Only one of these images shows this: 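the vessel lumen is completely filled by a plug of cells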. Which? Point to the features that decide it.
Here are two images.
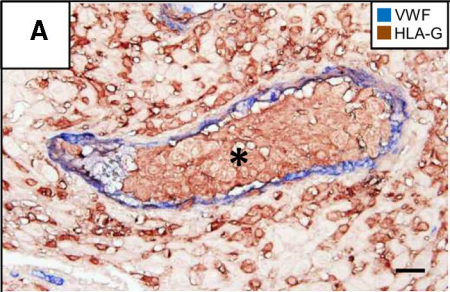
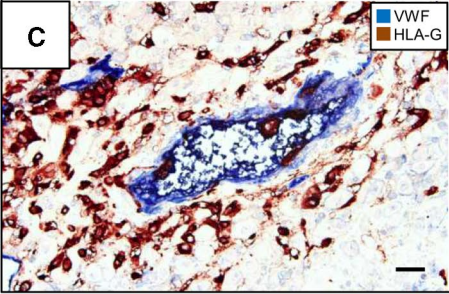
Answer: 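The first image. Second image: the blue-lined vessel lumen is largely open and pale, with only a few dark brown cells at its edge. First image: the blue-lined vessel lumen is filled with a mass of brown-stained cells.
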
